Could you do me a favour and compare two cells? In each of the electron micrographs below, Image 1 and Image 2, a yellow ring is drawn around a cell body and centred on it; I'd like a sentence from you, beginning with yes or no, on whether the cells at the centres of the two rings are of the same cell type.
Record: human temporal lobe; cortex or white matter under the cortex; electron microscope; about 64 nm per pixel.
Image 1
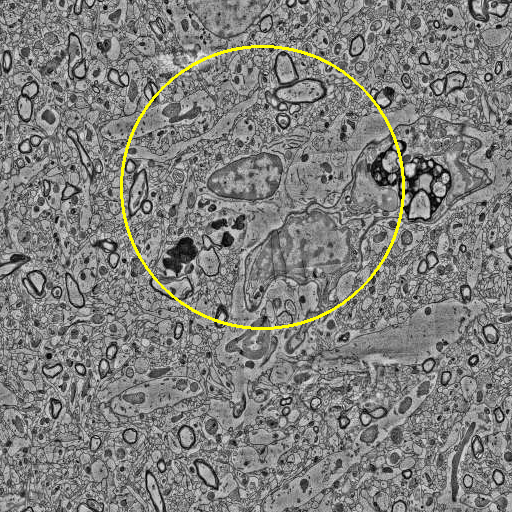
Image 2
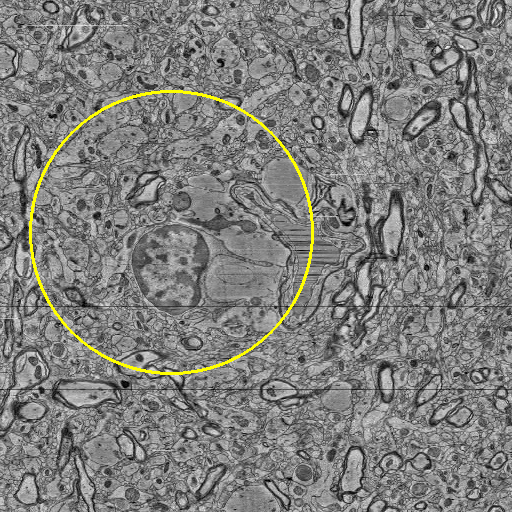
Yes, the two cells are of the same cell type.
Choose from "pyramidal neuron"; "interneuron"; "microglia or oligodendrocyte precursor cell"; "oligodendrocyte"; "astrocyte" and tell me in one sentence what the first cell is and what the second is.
Both pictures show a microglial cell or oligodendrocyte precursor cell at the centre of the ring.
